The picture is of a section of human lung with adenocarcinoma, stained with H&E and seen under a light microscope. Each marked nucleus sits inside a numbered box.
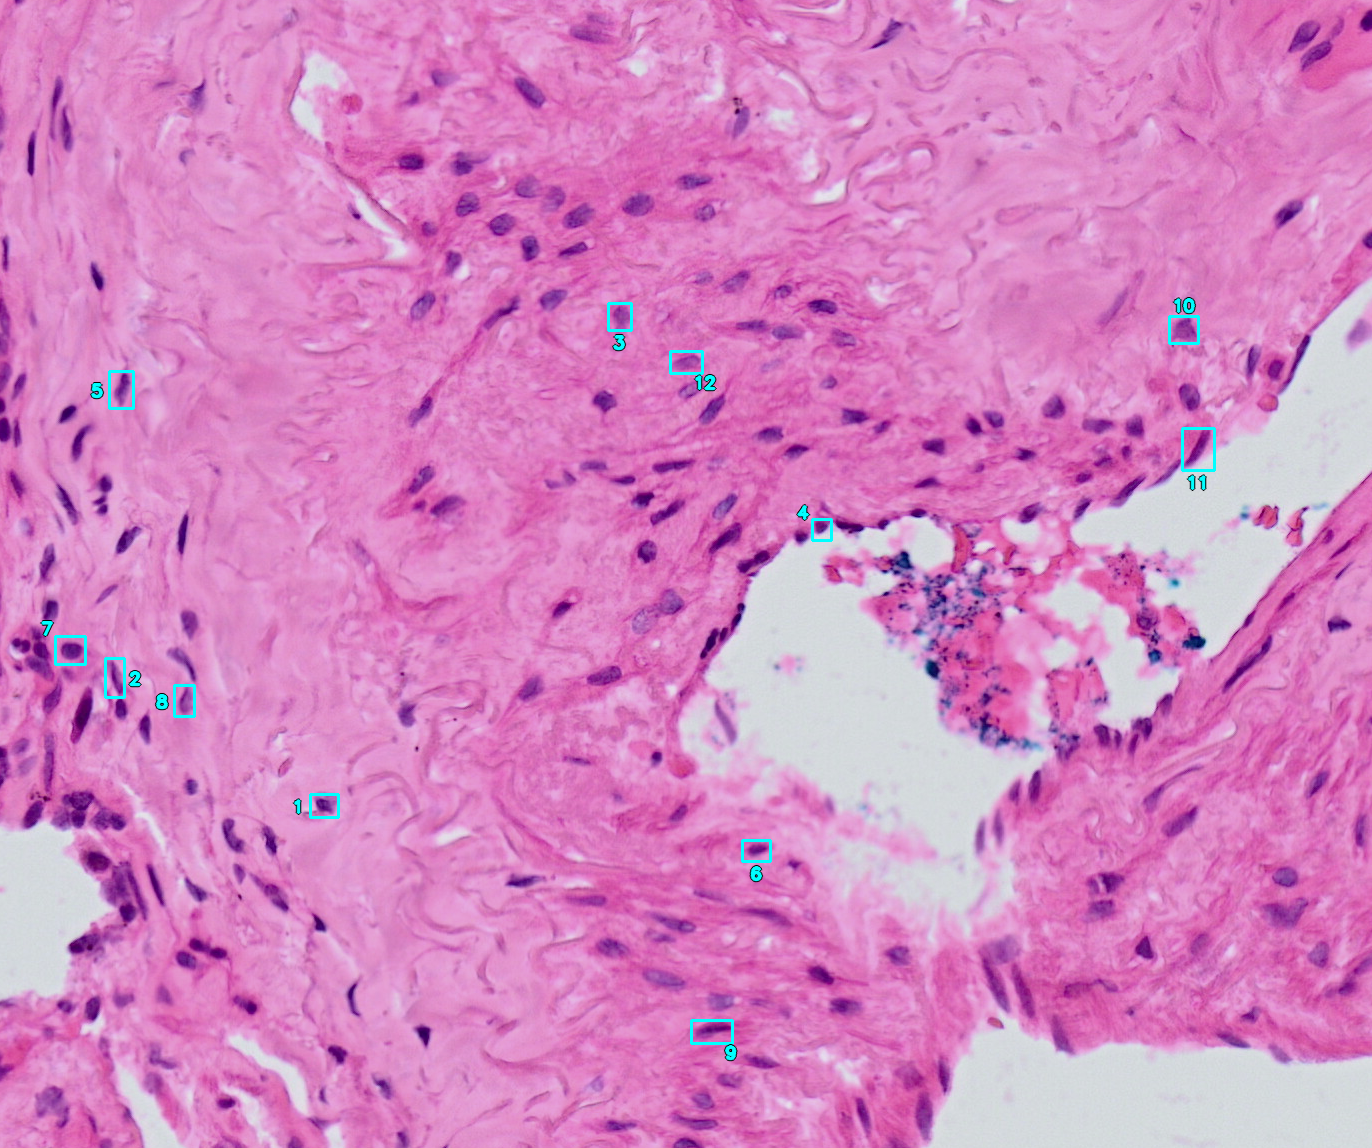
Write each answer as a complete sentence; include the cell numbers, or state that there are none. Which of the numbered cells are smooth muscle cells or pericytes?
The cells carrying labels 3, 6, 9 and 12 are smooth muscle cells or pericytes.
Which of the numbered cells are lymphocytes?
Cell 7 is a lymphocyte, while every other numbered cell is not.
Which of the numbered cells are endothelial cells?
The cells numbered 4 and 11 are of the kind known as endothelial cells.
